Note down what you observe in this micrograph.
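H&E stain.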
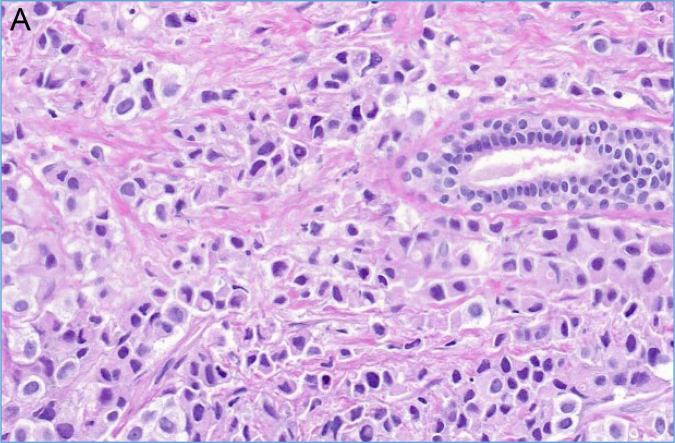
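Invasive carcinoma cells spread singly and in loose, dyscohesive groups through pink fibrous stroma without forming glands. The tumor cells have ample pale to pink cytoplasm, some with clear vacuolated areas, and nuclei that vary considerably in size and shape; many are enlarged and dark purple, others paler with visible nucleoli. Thin pink collagen strands run between the separated cells. At the right lies a small benign duct with a narrow central lumen, lined by orderly, closely packed cells with small uniform oval nuclei, in sharp contrast to the disorderly, pleomorphic surrounding tumor cells.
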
